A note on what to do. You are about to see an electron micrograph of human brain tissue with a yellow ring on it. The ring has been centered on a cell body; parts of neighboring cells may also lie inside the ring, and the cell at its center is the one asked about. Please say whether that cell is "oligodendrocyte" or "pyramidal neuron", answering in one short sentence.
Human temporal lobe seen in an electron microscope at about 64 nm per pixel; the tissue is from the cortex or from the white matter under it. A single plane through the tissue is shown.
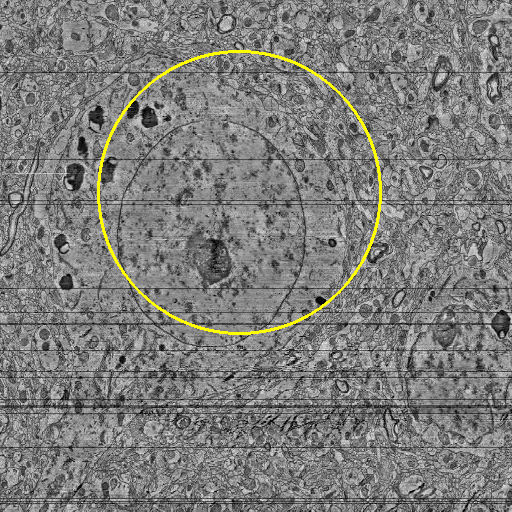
The yellow ring sits on a pyramidal neuron.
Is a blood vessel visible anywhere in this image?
No.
